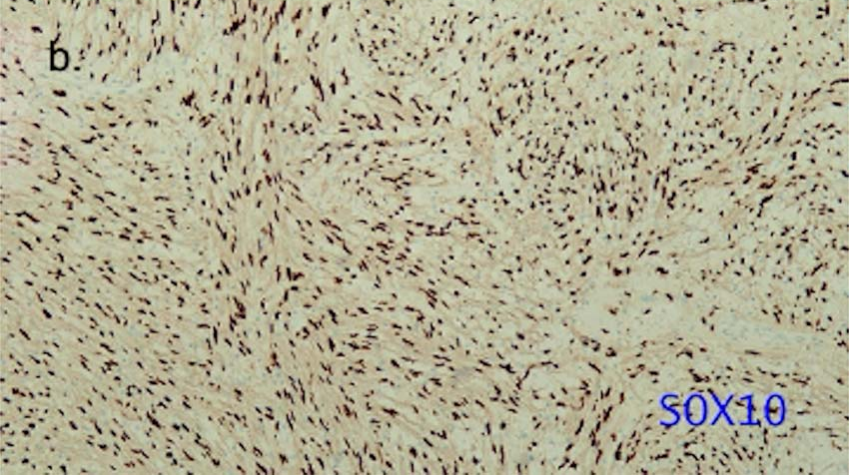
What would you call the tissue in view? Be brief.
schwannoma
